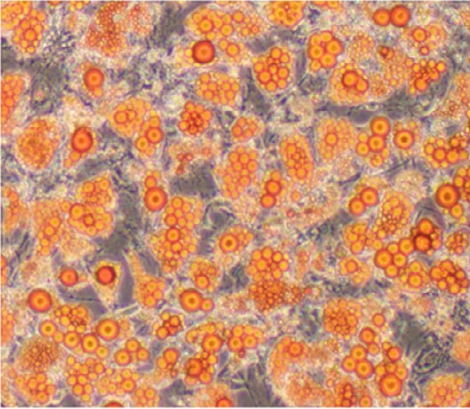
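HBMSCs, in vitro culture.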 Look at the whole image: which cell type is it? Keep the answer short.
Adipocytes.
